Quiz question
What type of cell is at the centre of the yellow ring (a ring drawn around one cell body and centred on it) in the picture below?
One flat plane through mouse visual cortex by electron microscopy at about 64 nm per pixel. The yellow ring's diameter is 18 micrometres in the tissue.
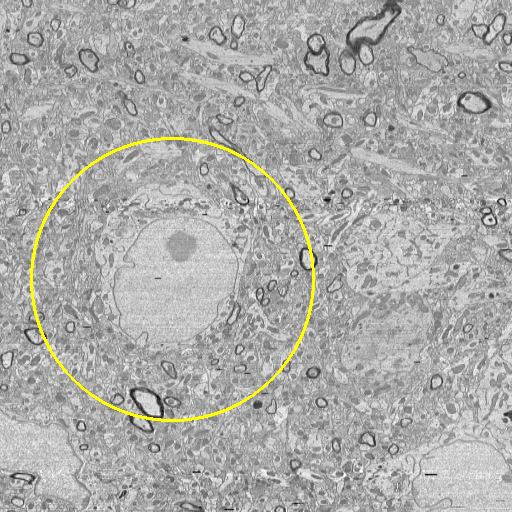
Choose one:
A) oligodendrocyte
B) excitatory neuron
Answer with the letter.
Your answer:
B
